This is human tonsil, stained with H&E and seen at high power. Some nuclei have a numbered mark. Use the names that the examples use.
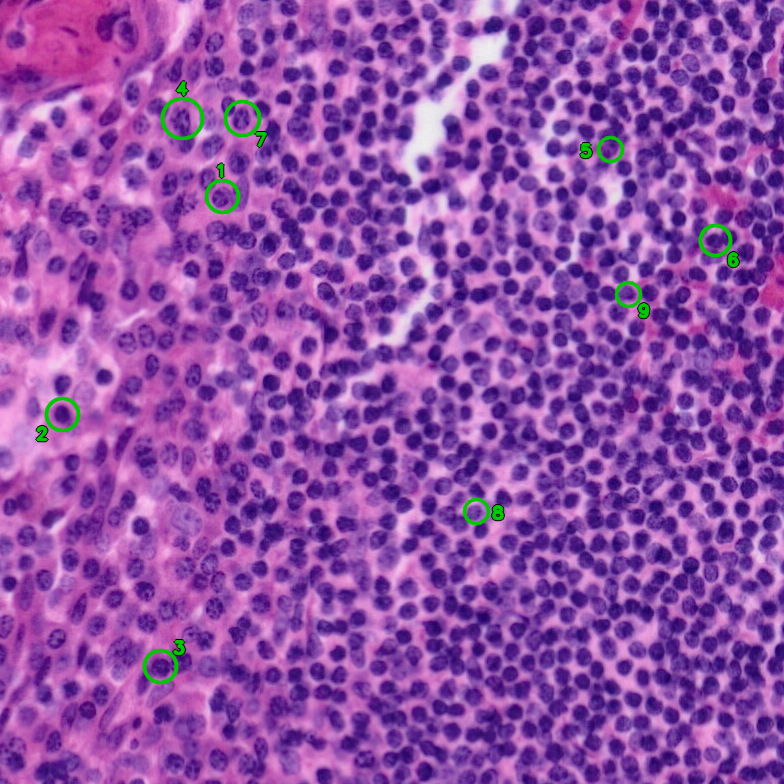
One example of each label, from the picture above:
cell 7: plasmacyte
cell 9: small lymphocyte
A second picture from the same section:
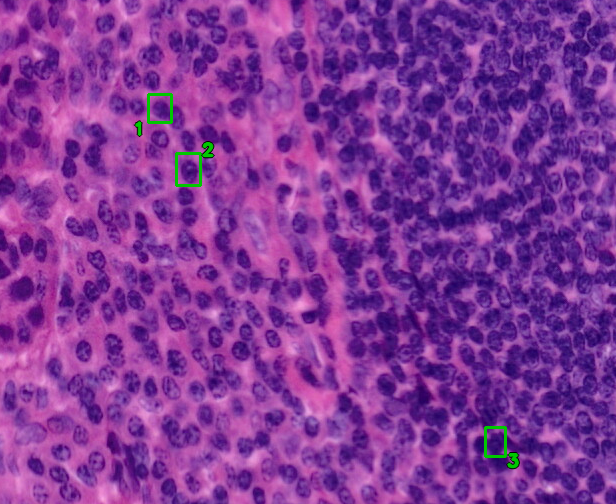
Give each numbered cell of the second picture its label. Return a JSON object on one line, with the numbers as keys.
{"1": "plasmacyte", "2": "plasmacyte", "3": "small lymphocyte"}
